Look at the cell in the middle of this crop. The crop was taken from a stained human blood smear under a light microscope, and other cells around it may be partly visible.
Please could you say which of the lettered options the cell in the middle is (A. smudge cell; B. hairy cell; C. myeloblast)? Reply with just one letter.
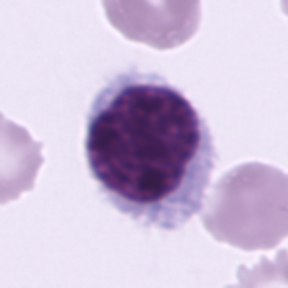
B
